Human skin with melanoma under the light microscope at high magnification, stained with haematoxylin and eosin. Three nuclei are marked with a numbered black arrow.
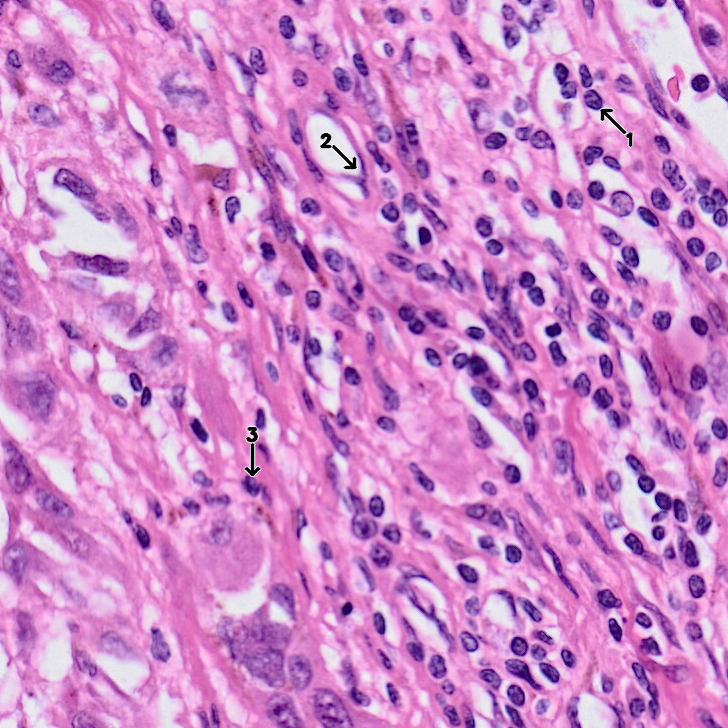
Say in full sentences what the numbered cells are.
Cell 1 is a lymphocyte, cell 2 is an endothelial cell and cell 3 is a lymphocyte.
